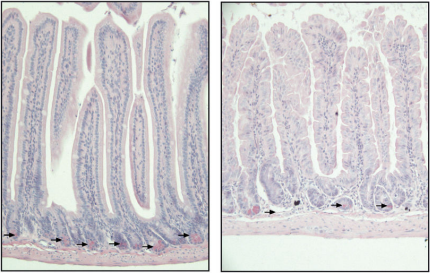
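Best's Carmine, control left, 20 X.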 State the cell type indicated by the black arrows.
Paneth cells.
